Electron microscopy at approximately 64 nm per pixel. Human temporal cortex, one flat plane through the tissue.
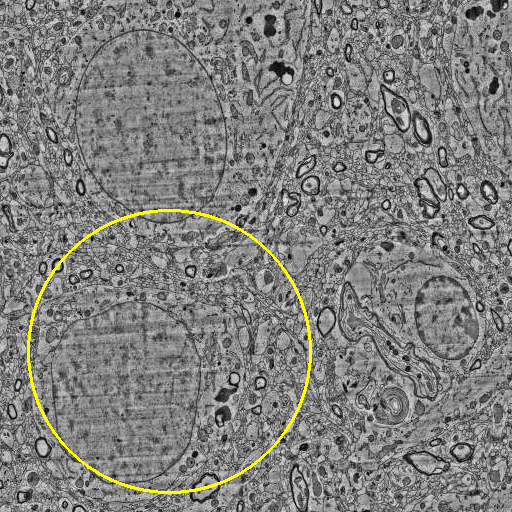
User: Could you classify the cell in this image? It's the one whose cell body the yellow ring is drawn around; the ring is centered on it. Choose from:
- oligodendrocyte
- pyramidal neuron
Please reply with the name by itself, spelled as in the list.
pyramidal neuron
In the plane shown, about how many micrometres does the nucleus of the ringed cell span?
The nucleus of the ringed cell is approximately 12 by 10 micrometres in this plane.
